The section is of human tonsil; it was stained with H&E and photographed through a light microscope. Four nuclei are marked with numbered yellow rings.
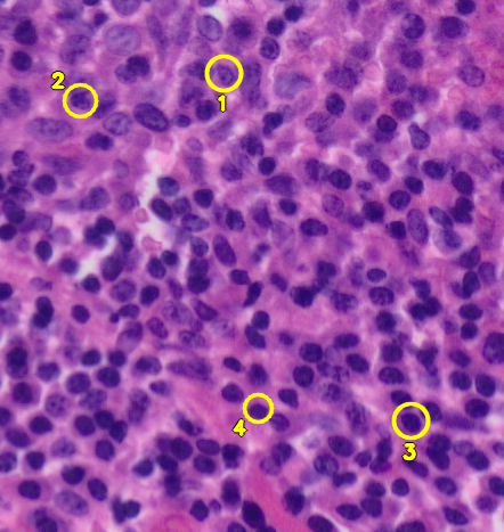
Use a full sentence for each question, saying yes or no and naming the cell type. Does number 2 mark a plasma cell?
No, the cell labelled 2 is a squamous epithelial cell and not a plasma cell.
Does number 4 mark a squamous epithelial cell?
No, for cell 4, the correct identification is a plasma cell instead of a squamous epithelial cell.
